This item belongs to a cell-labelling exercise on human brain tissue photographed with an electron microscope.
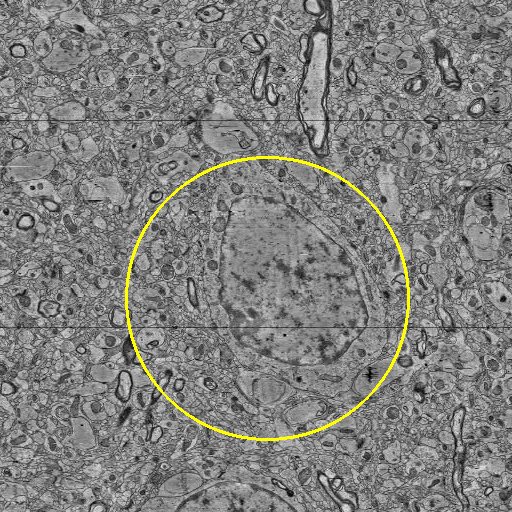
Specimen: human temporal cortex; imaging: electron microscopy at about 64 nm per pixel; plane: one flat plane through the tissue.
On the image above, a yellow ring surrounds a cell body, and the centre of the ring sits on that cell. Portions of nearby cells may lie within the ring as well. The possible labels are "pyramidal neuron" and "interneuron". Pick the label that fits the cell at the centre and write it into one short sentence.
This cell should be labelled as an interneuron.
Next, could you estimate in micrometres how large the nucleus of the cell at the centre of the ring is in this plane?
The nucleus works out at approximately 12 by 9 micrometres in this plane.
